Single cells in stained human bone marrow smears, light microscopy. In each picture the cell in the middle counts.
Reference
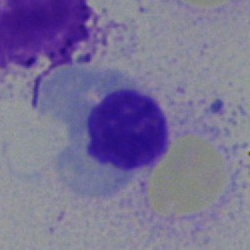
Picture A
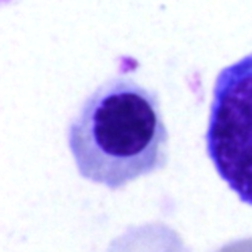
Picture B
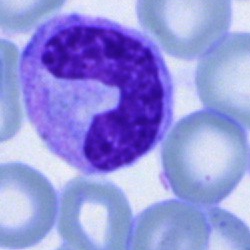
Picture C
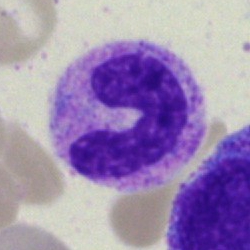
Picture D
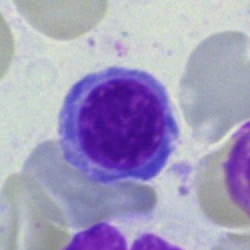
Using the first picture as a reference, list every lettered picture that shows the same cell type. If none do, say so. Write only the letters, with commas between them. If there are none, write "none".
A, D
